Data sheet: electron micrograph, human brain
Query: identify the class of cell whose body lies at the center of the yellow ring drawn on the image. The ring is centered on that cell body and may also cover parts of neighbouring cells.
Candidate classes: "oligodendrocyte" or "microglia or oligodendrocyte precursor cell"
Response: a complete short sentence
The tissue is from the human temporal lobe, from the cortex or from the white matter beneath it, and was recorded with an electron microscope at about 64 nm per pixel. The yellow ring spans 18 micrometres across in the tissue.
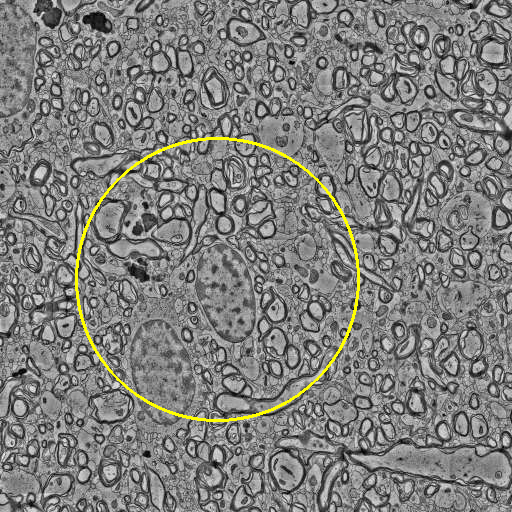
At the center of the ring lies a microglial cell or oligodendrocyte precursor cell.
